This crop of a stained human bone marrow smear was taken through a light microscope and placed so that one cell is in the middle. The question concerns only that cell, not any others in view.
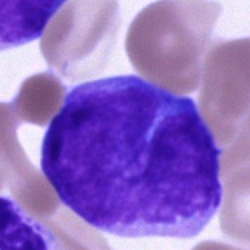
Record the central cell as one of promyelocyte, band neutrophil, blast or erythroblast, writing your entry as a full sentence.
To answer, the cell in the center of the crop is a blast.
